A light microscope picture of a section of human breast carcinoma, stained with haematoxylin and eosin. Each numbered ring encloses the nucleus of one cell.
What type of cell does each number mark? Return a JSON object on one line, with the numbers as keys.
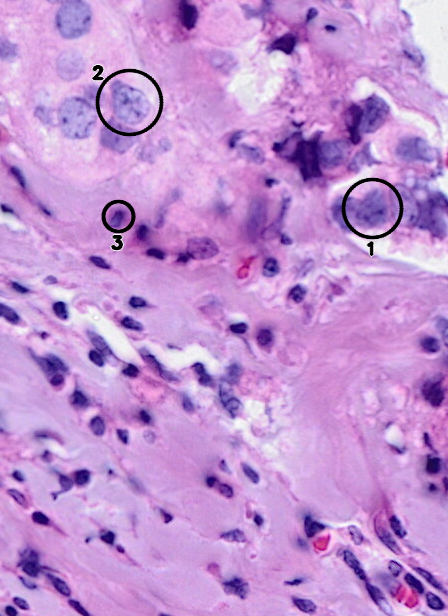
{"1": "carcinoma cell", "2": "carcinoma cell", "3": "mast cell"}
